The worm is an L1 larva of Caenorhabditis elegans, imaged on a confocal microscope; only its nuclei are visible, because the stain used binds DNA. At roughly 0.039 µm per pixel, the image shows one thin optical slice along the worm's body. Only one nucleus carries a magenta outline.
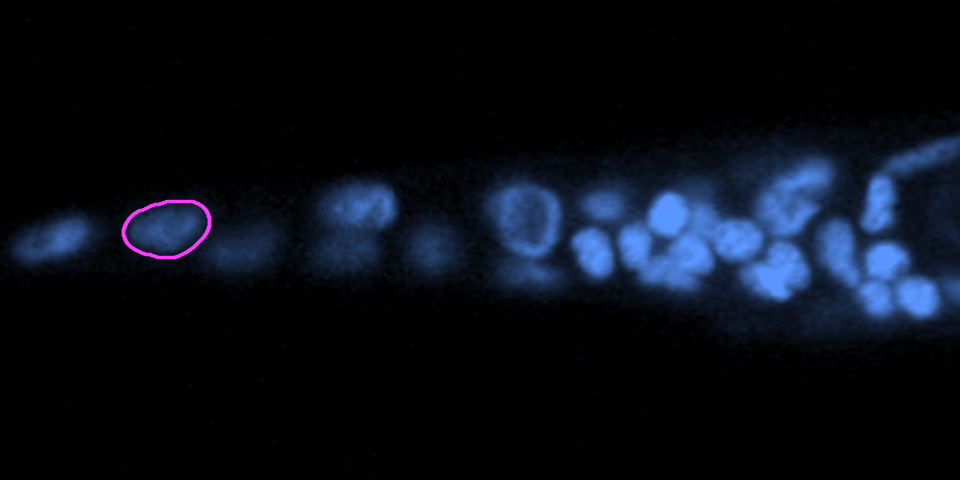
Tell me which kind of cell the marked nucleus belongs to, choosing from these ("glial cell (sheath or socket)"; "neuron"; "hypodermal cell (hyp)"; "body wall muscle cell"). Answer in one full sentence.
This nucleus is from a hypodermal cell (hyp).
